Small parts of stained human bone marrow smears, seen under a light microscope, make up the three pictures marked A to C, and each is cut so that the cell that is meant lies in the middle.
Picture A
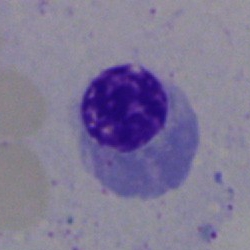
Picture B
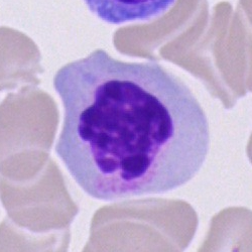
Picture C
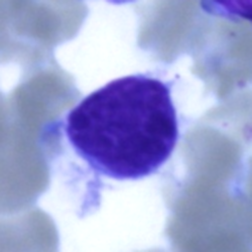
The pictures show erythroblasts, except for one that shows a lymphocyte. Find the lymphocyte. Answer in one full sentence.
The picture with the lymphocyte is C.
